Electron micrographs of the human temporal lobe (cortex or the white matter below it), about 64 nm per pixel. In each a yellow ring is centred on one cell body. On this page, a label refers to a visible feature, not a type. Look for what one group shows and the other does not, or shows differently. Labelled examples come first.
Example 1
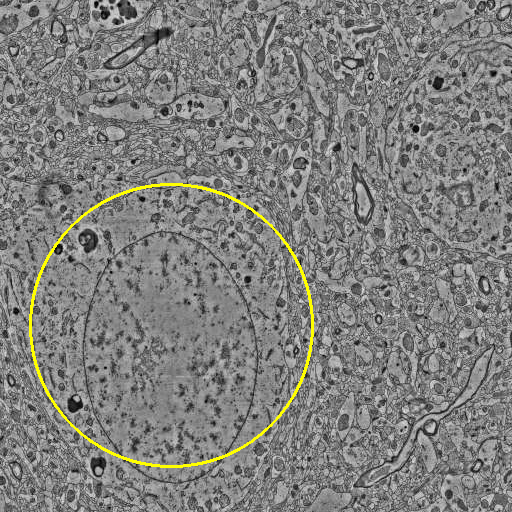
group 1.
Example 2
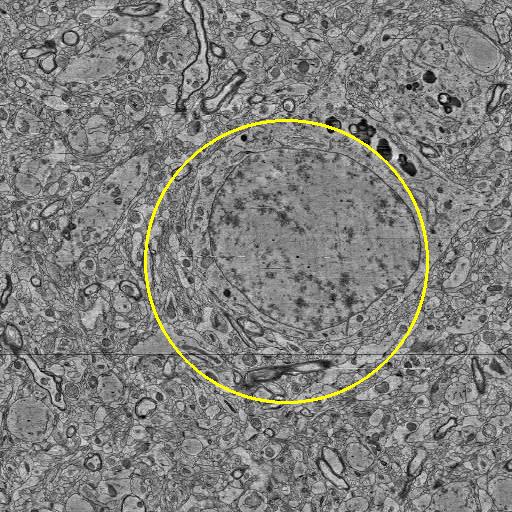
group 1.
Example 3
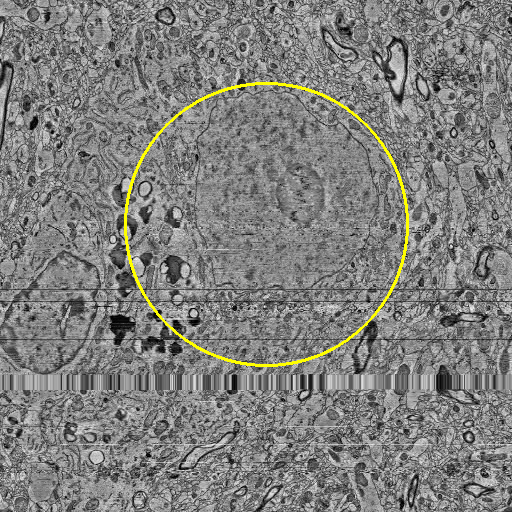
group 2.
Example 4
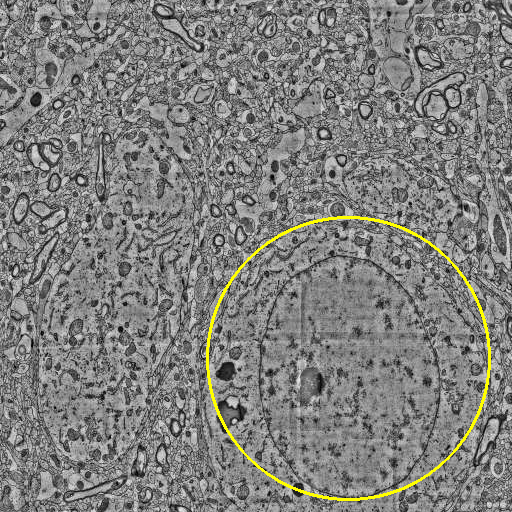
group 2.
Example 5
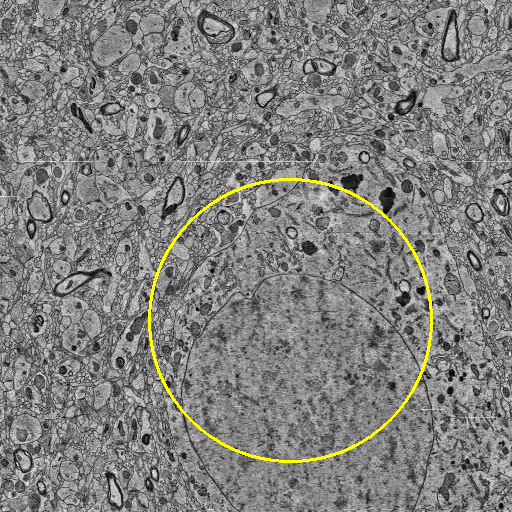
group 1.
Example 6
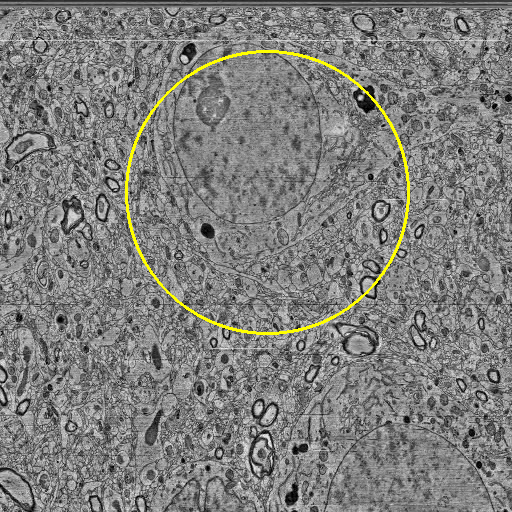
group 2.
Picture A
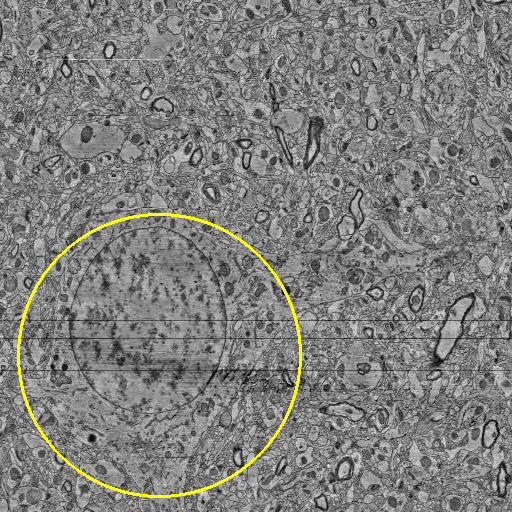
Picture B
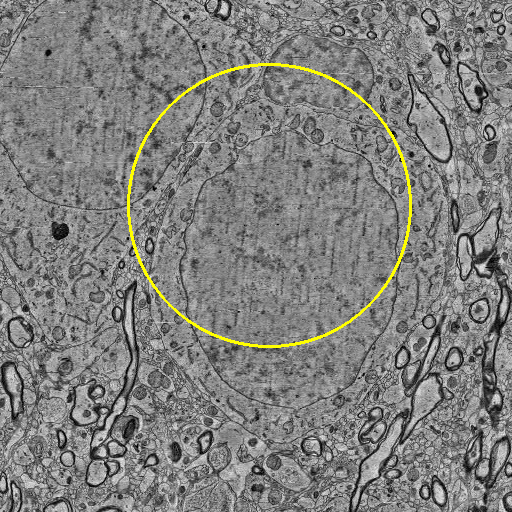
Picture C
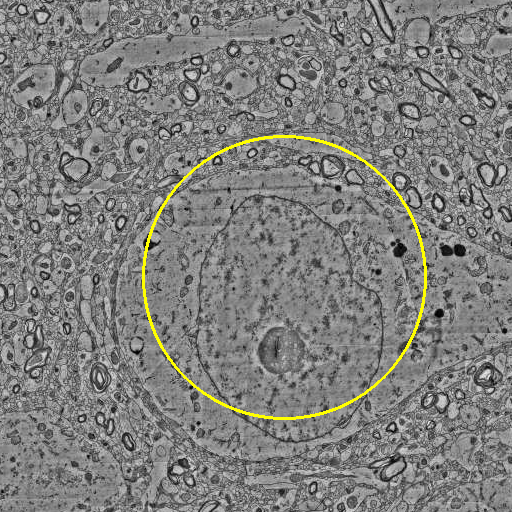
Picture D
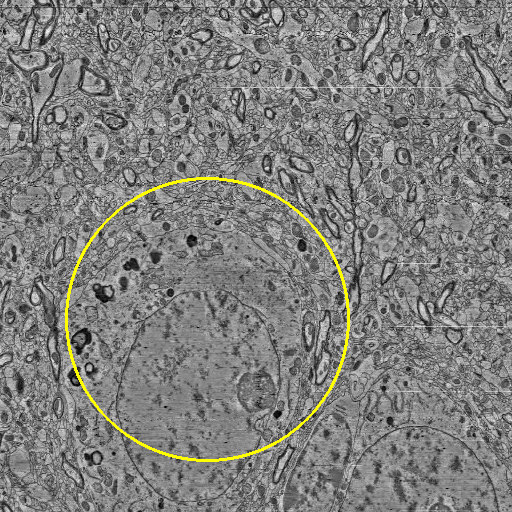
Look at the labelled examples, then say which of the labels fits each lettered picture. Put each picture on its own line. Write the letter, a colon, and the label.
A: group 1.
B: group 1.
C: group 2.
D: group 2.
